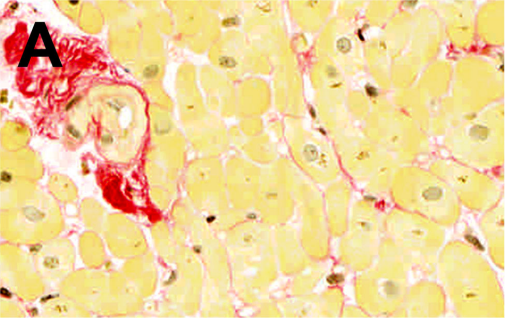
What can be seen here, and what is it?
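The cardiomyocytes are closely packed, rounded to polygonal profiles, many with a single oval, centrally placed nucleus. Thin red strands of interstitial collagen run between the fibres. At the upper left a small vessel is encircled by a thick, dense band of bright red collagen, a perivascular fibrosis. Small dark nuclei of interstitial cells lie in the spaces between the fibres.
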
